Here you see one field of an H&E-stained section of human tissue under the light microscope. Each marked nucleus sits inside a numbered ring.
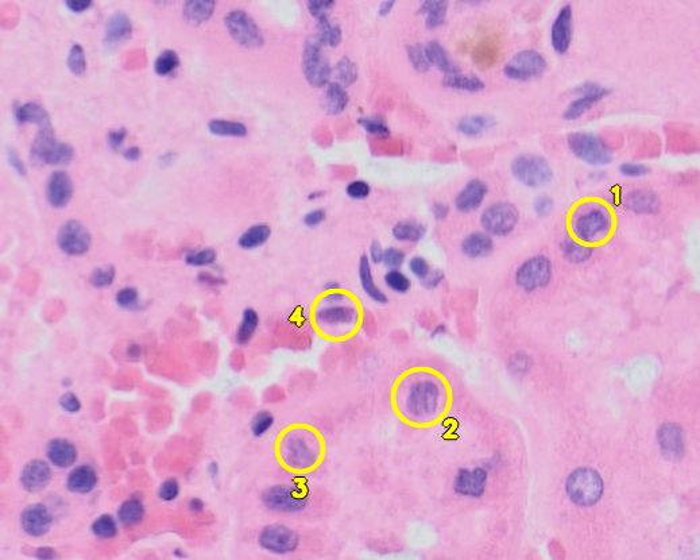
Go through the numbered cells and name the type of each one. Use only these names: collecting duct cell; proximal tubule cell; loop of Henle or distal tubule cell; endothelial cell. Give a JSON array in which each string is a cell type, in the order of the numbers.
["proximal tubule cell", "proximal tubule cell", "proximal tubule cell", "endothelial cell"]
